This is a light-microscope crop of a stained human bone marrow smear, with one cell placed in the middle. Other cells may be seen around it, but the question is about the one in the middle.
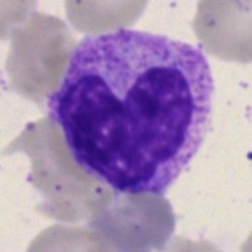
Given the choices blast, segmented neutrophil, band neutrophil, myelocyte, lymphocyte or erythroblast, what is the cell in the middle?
band neutrophil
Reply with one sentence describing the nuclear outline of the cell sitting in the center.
The cell carries one compact nucleus shaped round, oval or like a kidney.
